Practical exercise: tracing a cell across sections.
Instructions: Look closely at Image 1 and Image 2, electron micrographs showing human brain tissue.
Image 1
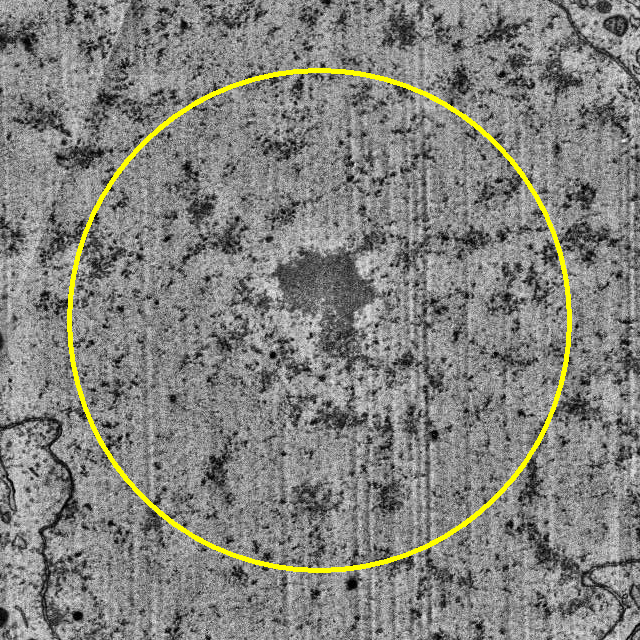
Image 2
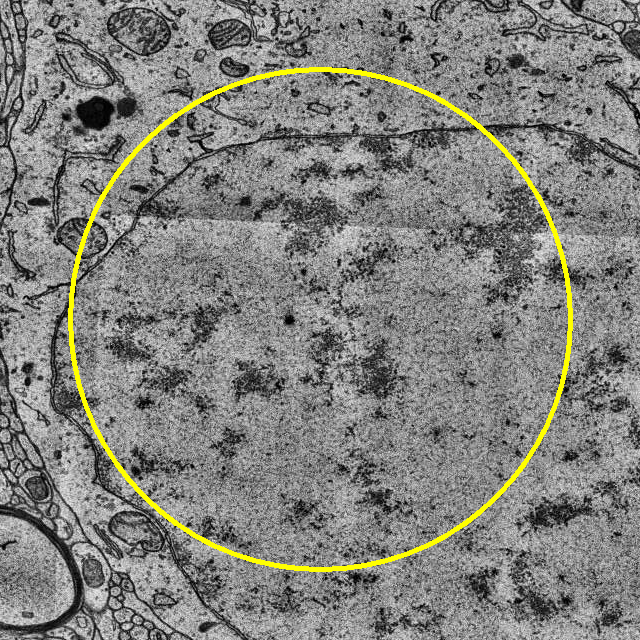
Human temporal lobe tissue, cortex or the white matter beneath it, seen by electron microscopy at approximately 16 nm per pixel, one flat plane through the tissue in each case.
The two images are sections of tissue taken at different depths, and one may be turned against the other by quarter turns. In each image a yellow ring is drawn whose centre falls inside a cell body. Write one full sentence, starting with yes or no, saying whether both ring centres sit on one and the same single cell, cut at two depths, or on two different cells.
No, the two yellow rings correspond to two separate cells.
